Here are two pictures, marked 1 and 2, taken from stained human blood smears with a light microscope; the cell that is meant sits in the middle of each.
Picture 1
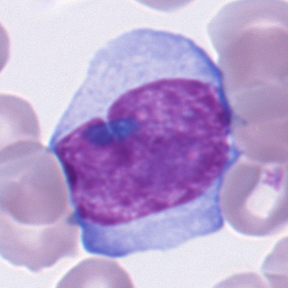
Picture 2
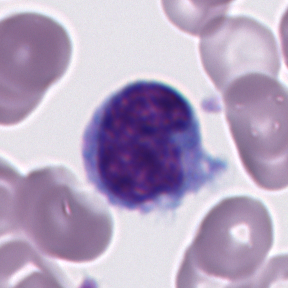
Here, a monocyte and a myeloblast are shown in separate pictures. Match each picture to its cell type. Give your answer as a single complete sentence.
Picture 1 shows a myeloblast and picture 2 shows a monocyte.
